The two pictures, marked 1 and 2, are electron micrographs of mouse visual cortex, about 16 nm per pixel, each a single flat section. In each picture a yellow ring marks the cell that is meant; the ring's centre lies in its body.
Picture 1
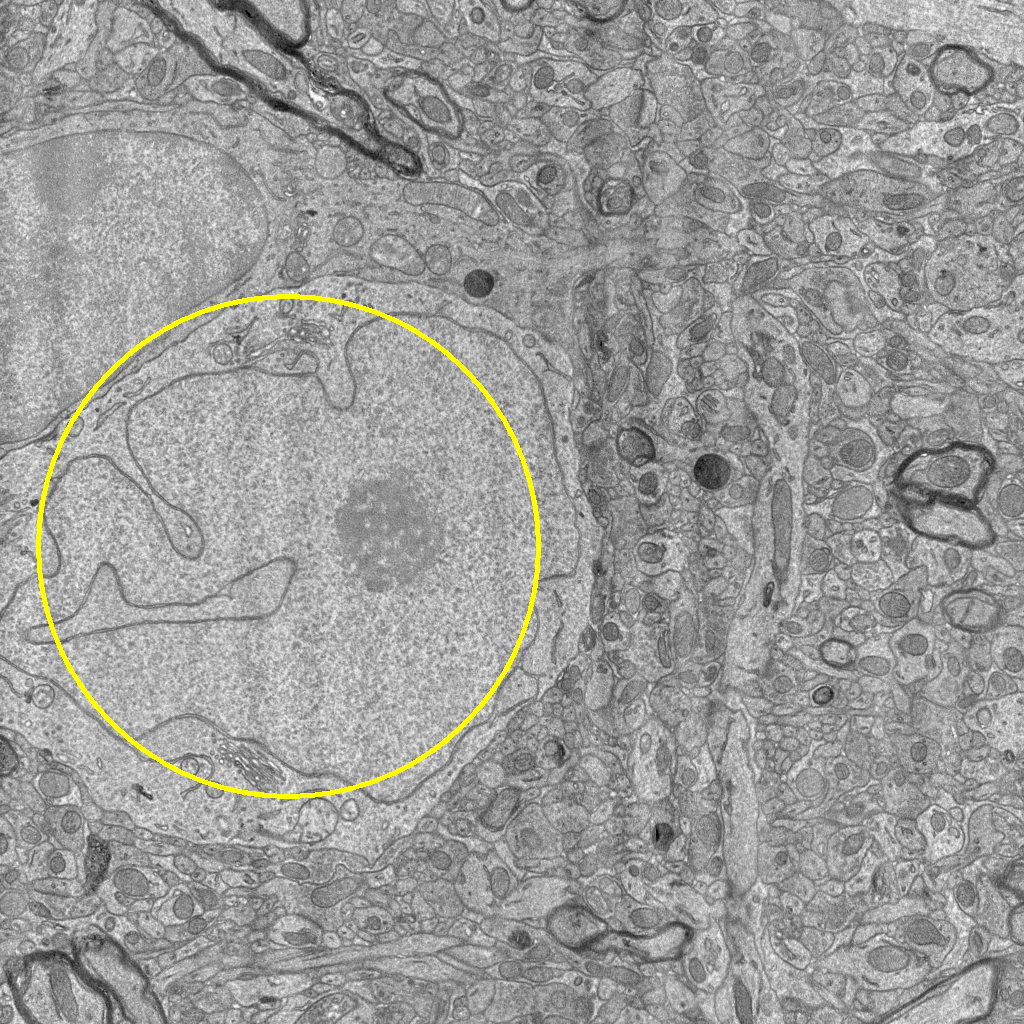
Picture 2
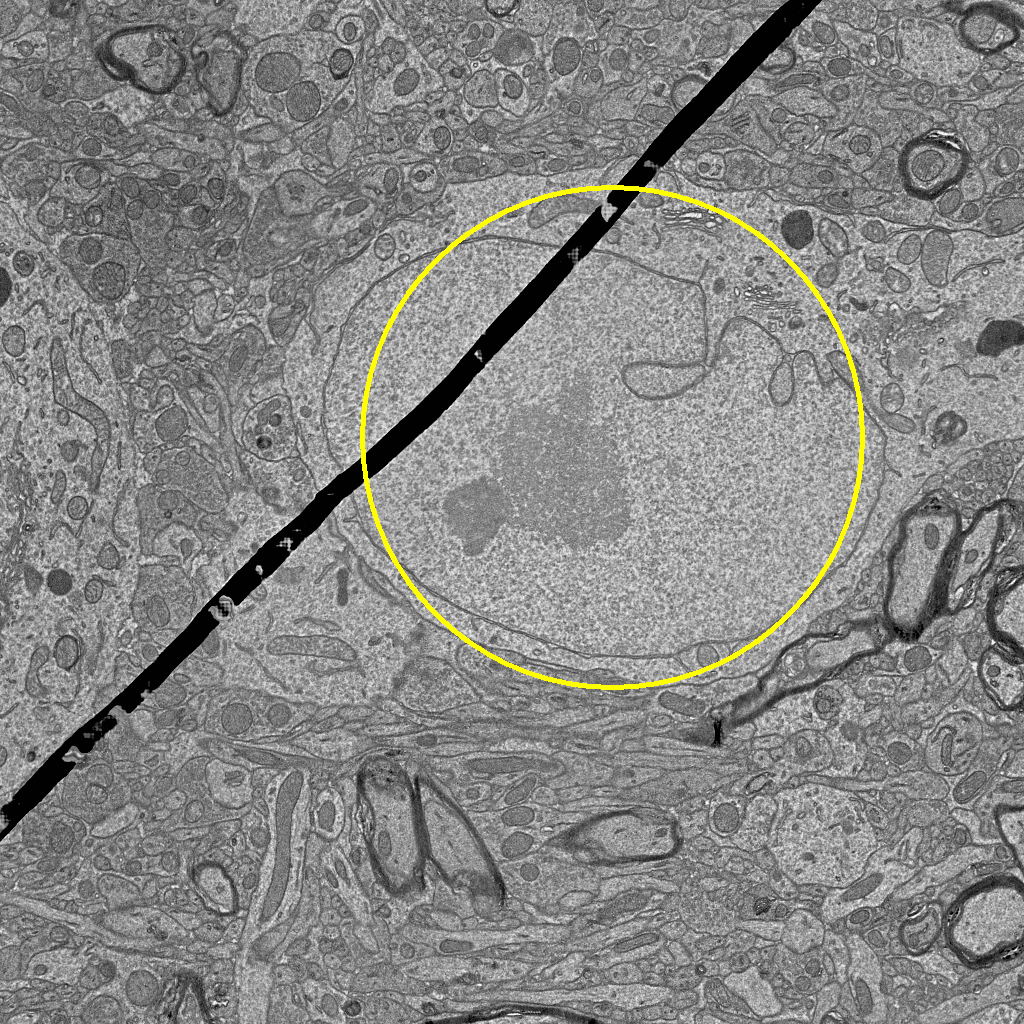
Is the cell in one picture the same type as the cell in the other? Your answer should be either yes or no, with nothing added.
yes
